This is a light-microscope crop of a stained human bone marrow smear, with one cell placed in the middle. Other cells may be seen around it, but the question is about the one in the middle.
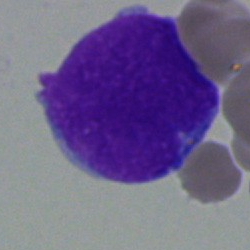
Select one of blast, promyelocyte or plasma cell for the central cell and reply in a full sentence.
At the center of the crop sits a blast.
